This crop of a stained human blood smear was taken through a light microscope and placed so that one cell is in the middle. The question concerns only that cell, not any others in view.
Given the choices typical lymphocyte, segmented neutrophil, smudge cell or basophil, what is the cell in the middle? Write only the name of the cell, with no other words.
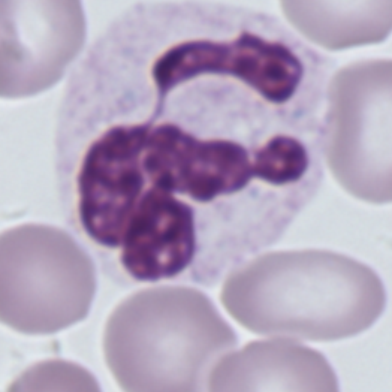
segmented neutrophil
